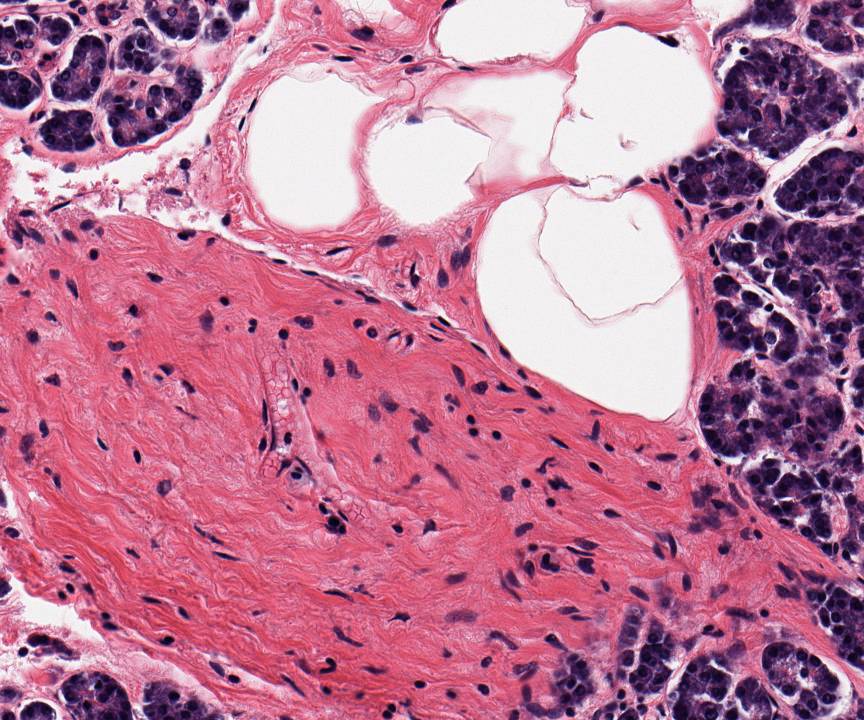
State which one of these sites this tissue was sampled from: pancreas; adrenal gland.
pancreas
